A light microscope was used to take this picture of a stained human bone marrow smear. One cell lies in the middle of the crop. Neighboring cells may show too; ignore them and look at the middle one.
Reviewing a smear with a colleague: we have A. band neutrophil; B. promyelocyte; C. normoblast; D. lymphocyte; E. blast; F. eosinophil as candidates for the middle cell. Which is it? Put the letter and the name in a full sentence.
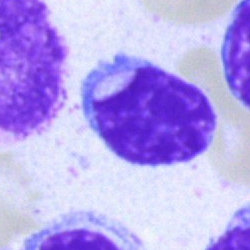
Option D is correct in naming the middle cell a lymphocyte.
